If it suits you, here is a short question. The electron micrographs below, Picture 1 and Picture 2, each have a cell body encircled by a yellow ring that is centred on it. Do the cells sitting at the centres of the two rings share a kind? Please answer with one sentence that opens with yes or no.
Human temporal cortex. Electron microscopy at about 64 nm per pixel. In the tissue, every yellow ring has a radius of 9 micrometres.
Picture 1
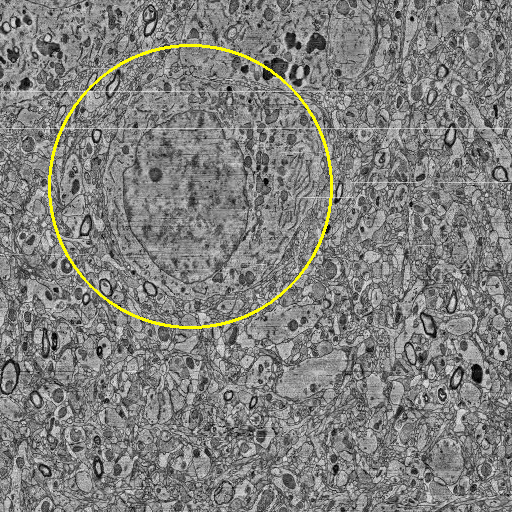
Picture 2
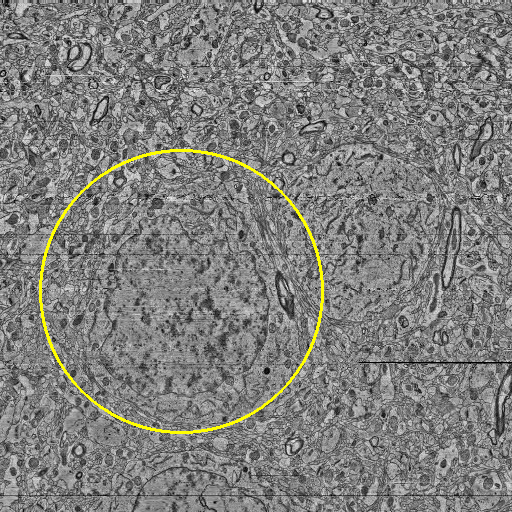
Yes, the two cells sitting at the ring centres share a single kind.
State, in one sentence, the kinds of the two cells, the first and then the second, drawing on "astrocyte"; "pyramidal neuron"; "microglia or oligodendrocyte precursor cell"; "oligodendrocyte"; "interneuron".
Both pictures show an interneuron at the centre of the ring.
